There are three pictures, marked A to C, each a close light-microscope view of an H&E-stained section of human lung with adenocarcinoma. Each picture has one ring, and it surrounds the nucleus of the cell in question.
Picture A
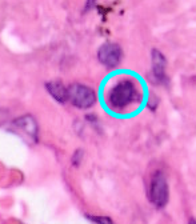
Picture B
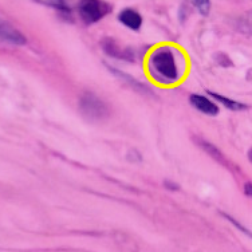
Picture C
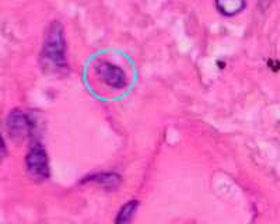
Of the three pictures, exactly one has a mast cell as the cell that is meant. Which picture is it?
C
